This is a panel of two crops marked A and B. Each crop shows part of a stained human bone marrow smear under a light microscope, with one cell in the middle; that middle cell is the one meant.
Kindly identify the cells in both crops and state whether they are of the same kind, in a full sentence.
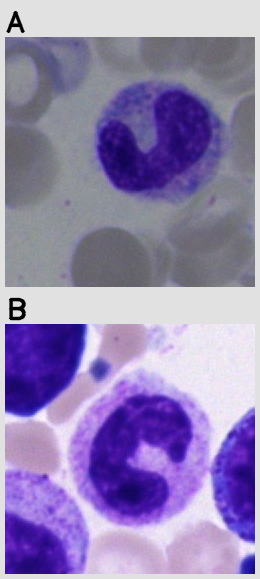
Yes, both crops in this set show band neutrophils.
